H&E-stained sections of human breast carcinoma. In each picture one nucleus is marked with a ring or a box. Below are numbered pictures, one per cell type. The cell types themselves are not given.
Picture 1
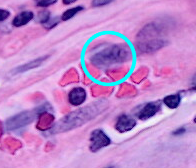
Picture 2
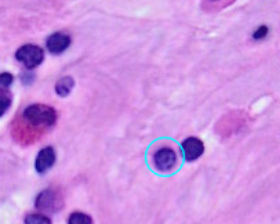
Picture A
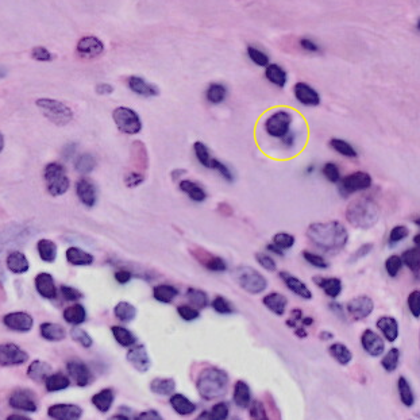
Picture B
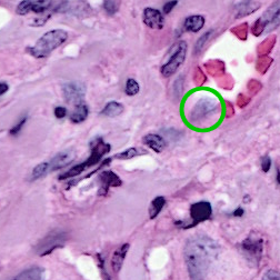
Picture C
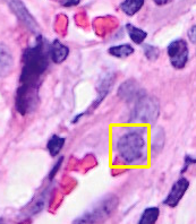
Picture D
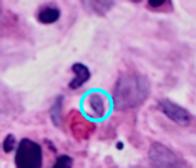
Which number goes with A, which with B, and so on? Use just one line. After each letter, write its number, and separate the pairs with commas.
A 2, B 1, C 1, D 1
